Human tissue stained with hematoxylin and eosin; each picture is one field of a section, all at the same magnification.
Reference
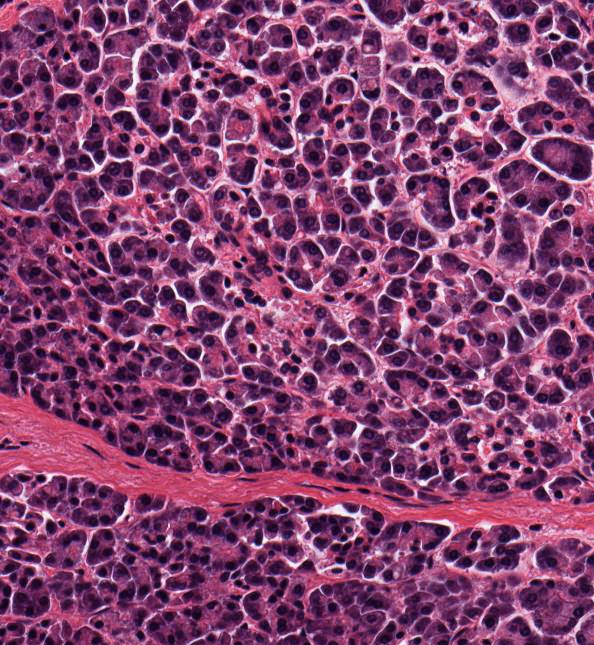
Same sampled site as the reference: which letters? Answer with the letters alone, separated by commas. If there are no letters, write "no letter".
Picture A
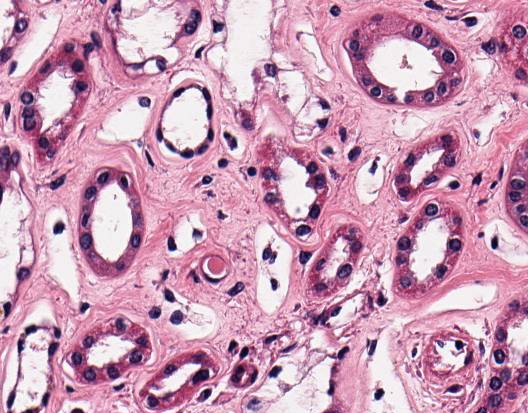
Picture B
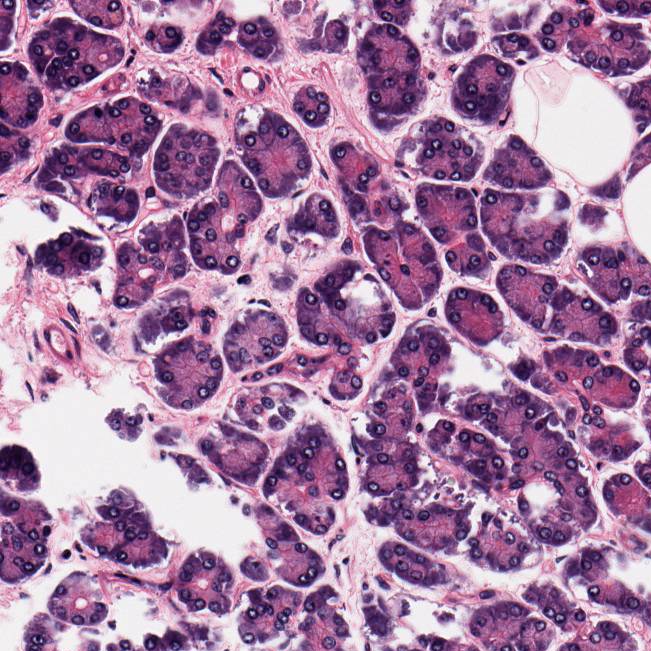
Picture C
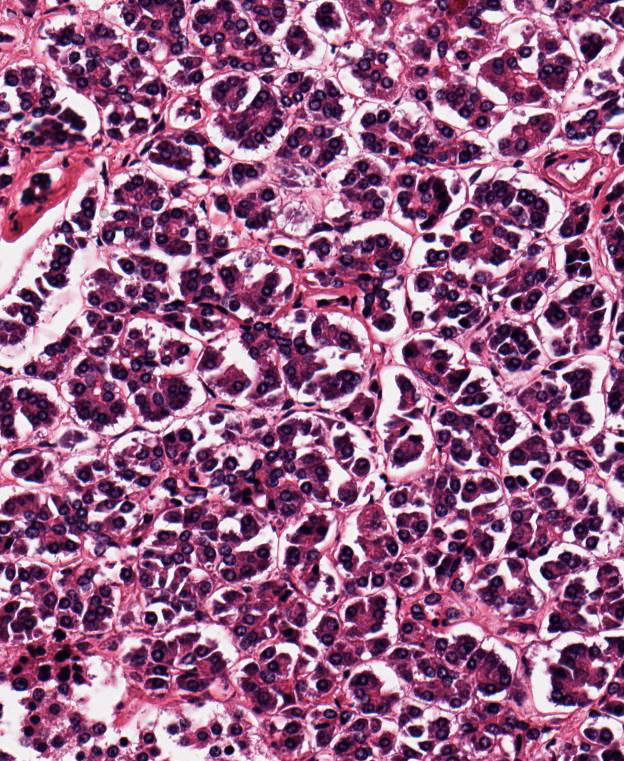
B, C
